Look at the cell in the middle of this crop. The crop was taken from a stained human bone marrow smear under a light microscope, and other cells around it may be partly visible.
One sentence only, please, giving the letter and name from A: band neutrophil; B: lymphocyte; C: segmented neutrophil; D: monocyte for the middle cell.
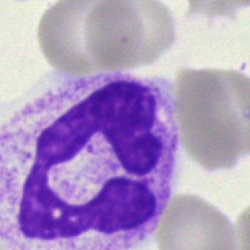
The correct option, C, names the middle cell as a segmented neutrophil.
